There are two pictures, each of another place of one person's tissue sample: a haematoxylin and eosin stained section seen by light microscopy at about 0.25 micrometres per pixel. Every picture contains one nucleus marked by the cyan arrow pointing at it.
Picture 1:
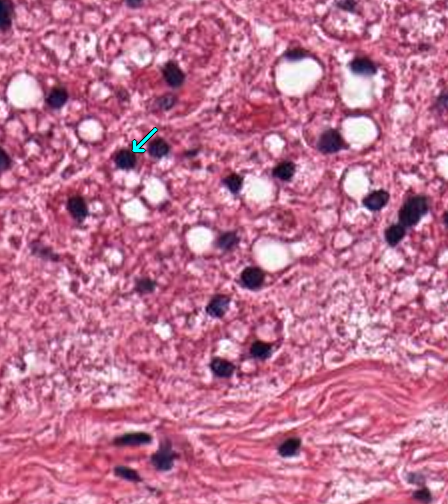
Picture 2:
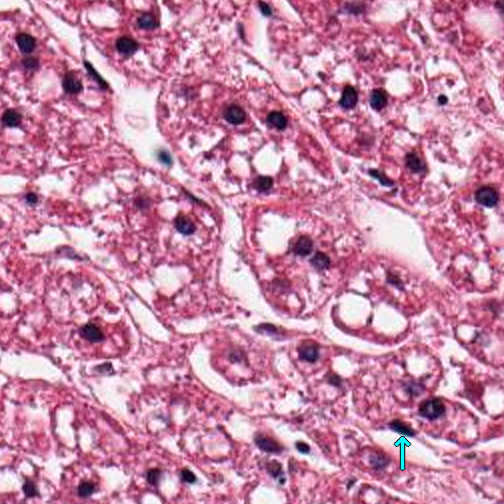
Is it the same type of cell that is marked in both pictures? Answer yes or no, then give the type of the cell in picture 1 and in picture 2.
No, the first is an adrenal cortical cell and the second an endothelial cell.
